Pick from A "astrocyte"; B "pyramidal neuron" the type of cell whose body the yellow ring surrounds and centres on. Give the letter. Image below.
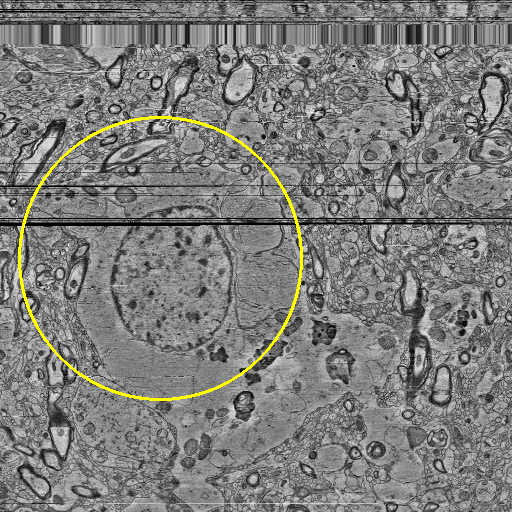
A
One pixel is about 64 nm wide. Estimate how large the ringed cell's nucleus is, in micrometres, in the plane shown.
In this plane, approximately 9 micrometres across.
